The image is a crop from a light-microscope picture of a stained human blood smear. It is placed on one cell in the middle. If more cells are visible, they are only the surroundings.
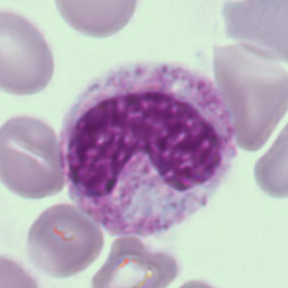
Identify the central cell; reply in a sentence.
The cell that lies at the centre of the crop is a band neutrophil.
